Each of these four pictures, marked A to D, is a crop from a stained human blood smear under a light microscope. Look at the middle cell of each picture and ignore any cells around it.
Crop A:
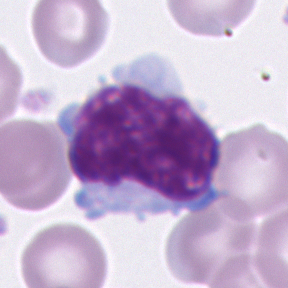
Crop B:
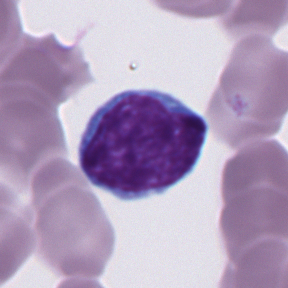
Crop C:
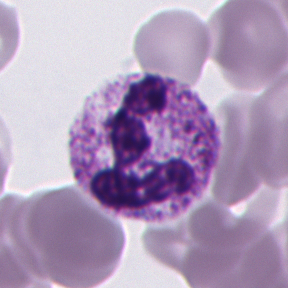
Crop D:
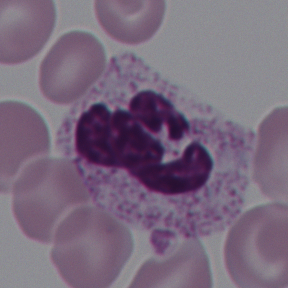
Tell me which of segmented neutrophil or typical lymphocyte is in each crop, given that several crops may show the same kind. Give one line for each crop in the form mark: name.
A: typical lymphocyte
B: typical lymphocyte
C: segmented neutrophil
D: segmented neutrophil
